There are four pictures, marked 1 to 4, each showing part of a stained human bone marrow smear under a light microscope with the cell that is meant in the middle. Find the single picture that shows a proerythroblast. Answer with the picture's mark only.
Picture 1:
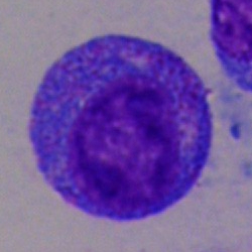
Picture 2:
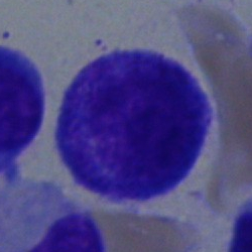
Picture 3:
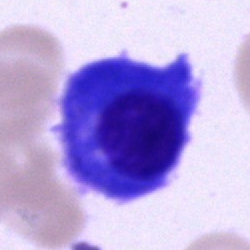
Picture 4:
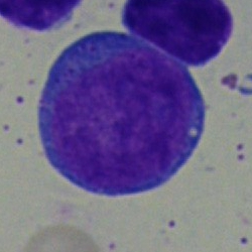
4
